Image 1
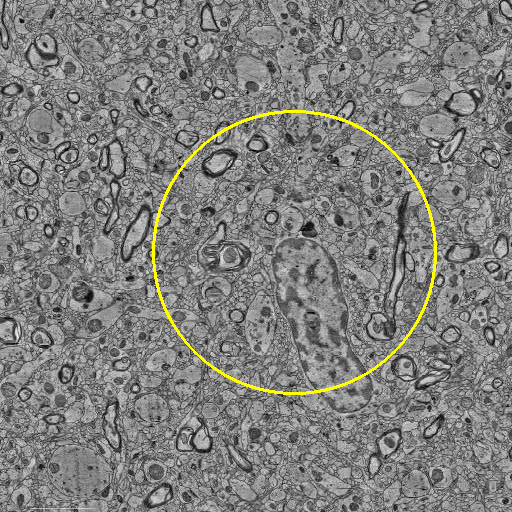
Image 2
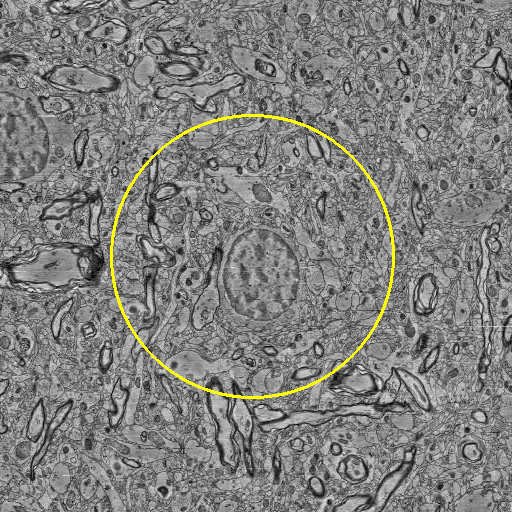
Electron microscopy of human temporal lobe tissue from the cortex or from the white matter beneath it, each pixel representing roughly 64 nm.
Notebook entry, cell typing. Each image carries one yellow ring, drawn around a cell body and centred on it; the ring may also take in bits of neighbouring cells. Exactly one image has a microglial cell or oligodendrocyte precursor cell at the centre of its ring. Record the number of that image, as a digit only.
1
